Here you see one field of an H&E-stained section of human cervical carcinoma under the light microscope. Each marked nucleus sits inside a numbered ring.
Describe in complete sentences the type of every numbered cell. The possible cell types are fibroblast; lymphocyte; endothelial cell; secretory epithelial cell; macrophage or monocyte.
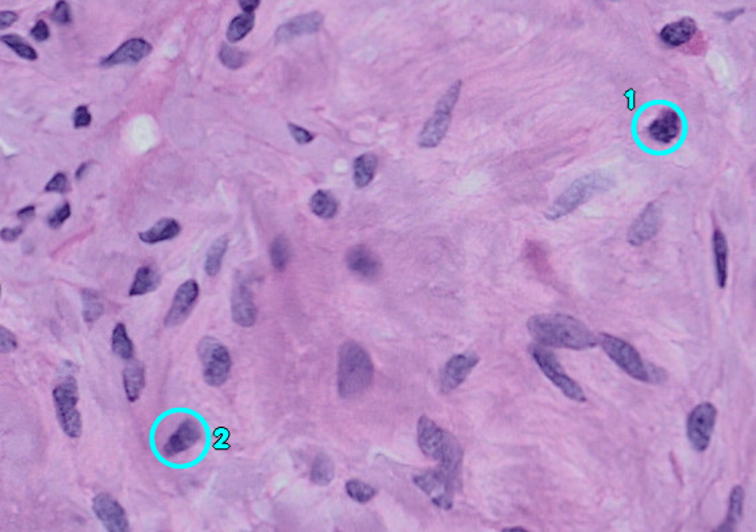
Cell 1 is a lymphocyte. Cell 2 is a fibroblast.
